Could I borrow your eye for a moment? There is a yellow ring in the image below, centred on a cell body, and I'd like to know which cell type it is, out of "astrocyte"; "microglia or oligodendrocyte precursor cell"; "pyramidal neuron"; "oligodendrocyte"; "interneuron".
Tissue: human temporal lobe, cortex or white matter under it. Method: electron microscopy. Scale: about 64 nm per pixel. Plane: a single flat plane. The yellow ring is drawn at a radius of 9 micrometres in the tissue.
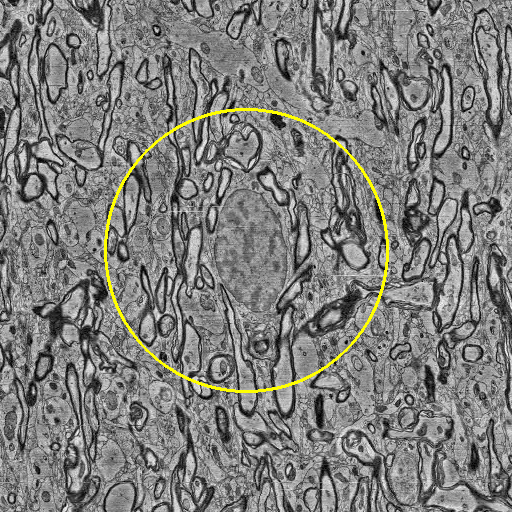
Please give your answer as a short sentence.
The cell body at the centre is that of an oligodendrocyte.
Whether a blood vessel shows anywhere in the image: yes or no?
No, there is no blood vessel.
